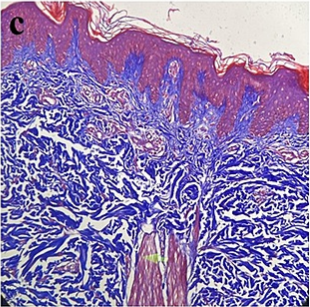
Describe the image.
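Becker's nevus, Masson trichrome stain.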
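Skin in which the epidermis stains red-purple and sends elongated ridges down into the dermis, beneath a thin layer of keratin. The dermis is packed with dense, interlacing blue collagen fibers, among which small vessels are seen. Deep in the dermis a red-staining bundle of smooth muscle runs vertically through the blue collagen.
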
